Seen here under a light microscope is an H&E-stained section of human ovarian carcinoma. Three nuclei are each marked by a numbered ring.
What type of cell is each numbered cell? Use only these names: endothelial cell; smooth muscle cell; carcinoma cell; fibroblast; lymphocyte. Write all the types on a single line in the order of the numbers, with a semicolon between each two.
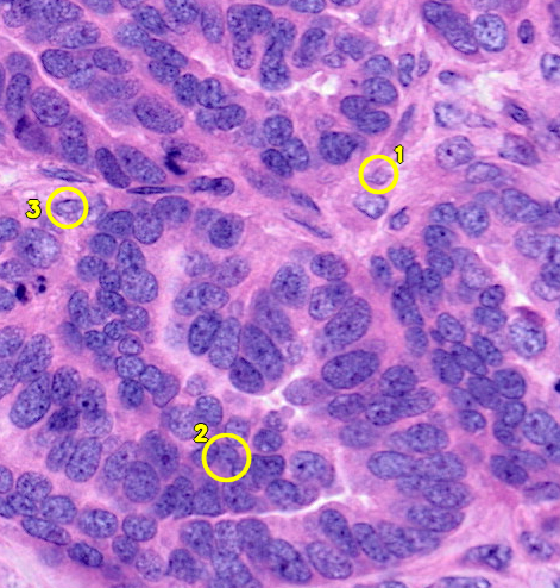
fibroblast; carcinoma cell; fibroblast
